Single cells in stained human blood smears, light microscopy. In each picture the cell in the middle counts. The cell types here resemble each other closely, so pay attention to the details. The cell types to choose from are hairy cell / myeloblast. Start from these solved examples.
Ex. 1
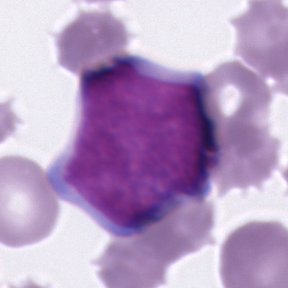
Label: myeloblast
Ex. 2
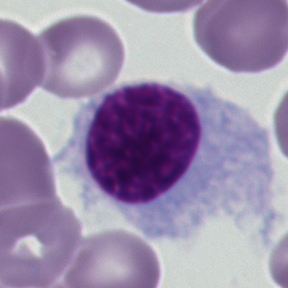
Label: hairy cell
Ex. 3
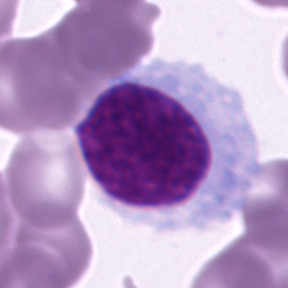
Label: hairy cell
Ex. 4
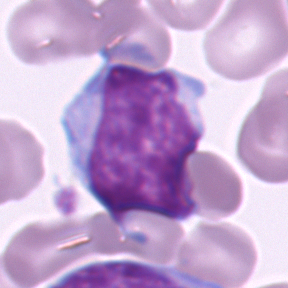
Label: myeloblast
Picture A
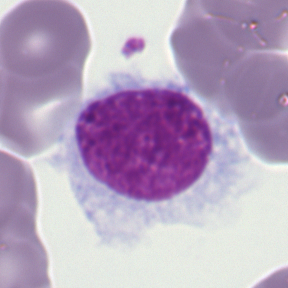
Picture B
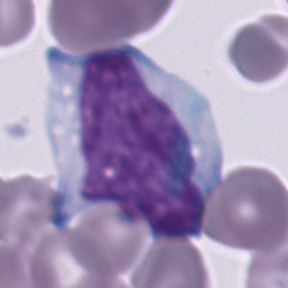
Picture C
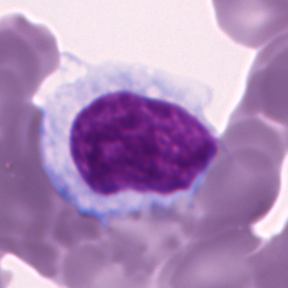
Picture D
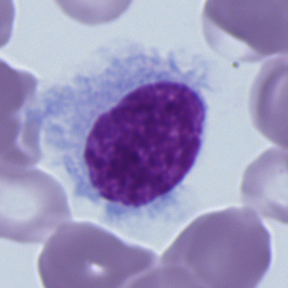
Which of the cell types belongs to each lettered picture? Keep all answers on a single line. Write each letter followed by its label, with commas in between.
A hairy cell, B myeloblast, C hairy cell, D hairy cell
